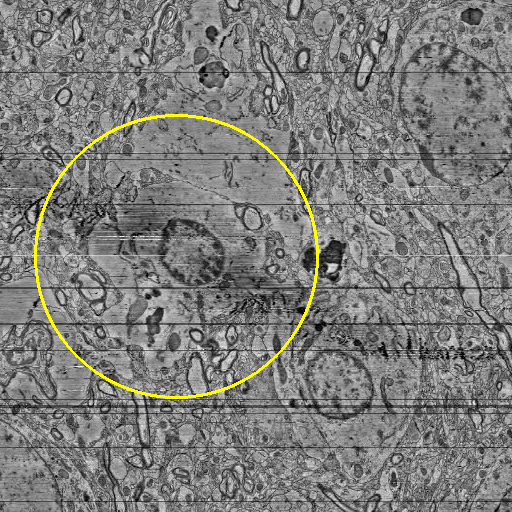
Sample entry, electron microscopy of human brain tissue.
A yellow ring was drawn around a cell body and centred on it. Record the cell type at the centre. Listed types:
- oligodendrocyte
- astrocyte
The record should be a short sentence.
The cell at the ring's centre is an astrocyte.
